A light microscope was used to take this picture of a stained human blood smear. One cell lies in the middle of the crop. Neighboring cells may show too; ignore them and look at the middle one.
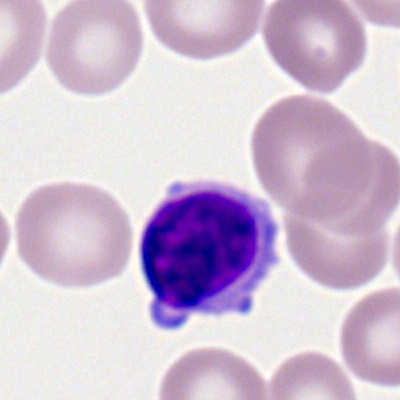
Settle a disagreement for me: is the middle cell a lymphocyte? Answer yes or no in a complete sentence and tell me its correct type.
Yes, the cell in the middle is a lymphocyte.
